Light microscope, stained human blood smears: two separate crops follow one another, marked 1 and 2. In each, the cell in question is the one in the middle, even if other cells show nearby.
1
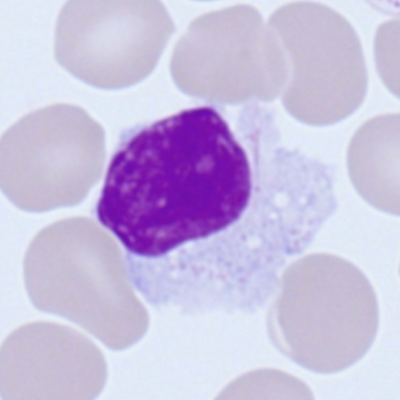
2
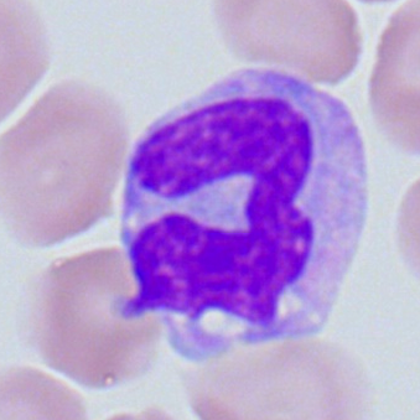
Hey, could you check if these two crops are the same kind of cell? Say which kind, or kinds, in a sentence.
No, crop 1 carries a lymphocyte and crop 2 carries a monocyte.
